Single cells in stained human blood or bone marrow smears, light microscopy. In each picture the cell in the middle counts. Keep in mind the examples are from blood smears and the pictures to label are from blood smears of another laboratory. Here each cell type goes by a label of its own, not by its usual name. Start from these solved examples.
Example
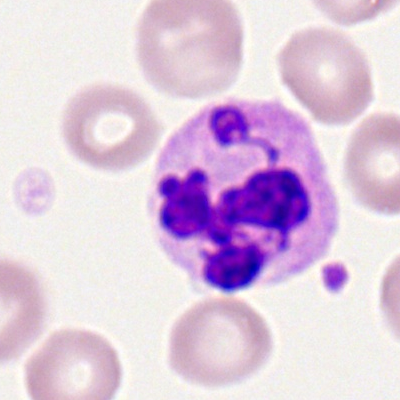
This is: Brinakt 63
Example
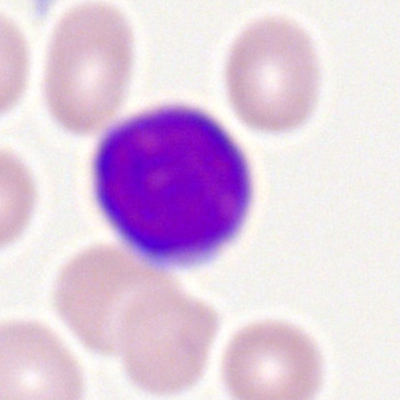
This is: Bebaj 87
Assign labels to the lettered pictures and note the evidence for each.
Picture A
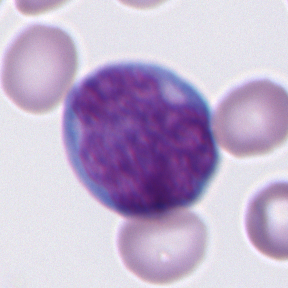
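Label: Bebaj 87. The cytoplasm forms a narrow rim that is widest on the left side of the cell.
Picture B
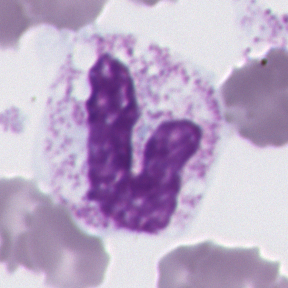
Label: Brinakt 63. The cytoplasm is plentiful and pale.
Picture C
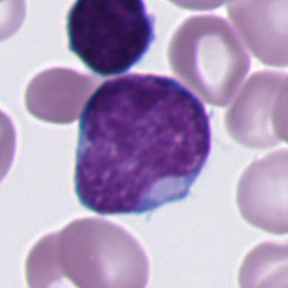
Label: Bebaj 87. The nucleus fills most of the cell.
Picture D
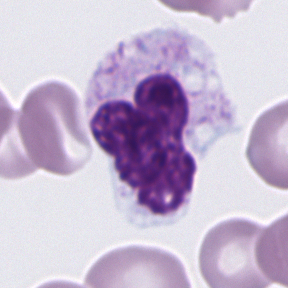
Label: Brinakt 63. The cytoplasm is abundant and pale grey-blue.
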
